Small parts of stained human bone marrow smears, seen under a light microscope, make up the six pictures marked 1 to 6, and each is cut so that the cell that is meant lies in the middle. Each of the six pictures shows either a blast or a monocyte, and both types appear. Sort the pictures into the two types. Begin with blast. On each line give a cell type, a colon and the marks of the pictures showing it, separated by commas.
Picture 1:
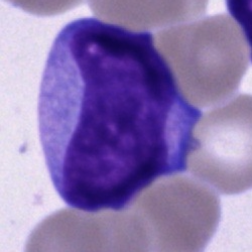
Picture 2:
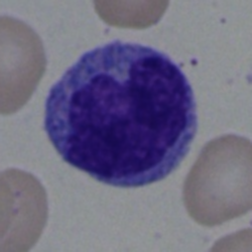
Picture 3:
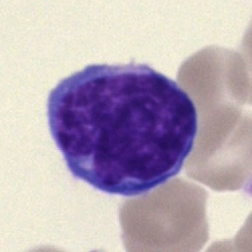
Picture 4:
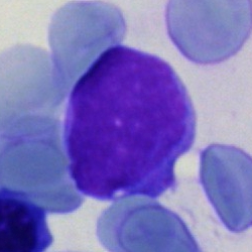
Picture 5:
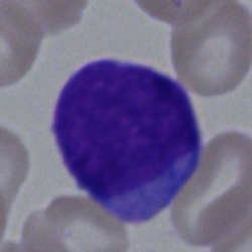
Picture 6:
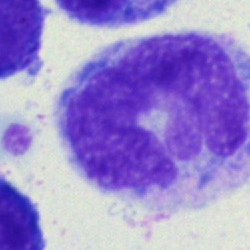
blast: 1, 3, 4, 5
monocyte: 2, 6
